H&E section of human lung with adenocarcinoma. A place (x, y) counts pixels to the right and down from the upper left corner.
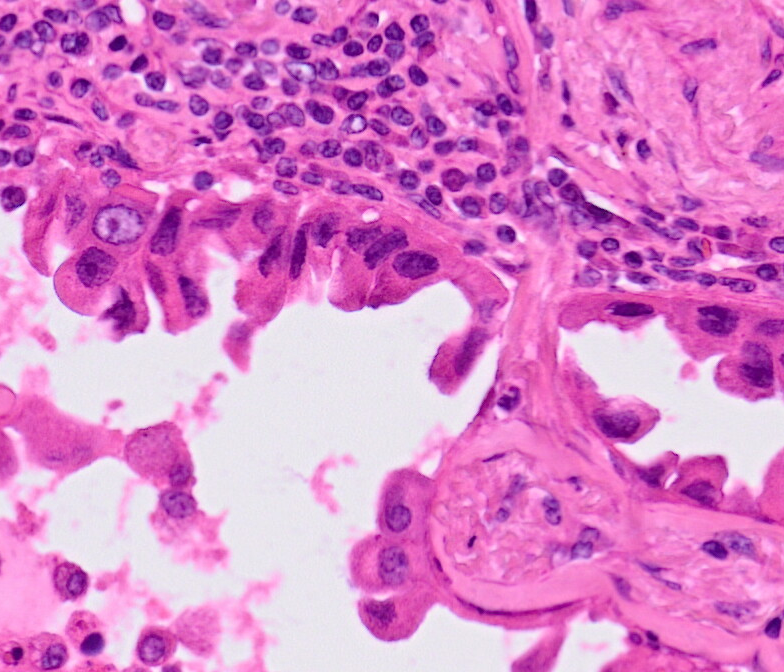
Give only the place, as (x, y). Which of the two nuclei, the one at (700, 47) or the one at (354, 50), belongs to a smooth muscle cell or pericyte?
(700, 47)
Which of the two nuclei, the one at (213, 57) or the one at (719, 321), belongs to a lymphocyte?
(213, 57)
